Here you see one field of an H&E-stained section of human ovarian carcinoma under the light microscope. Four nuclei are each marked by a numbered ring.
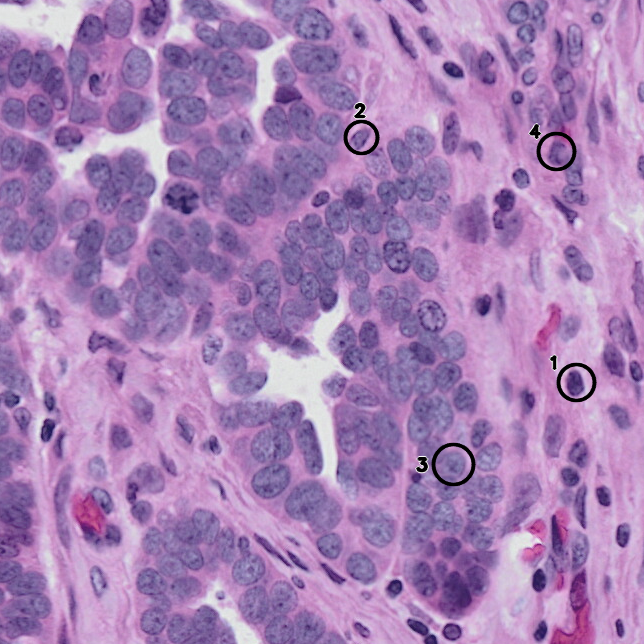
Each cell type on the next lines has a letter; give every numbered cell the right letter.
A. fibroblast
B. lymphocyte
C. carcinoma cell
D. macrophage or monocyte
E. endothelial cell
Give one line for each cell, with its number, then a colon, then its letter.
1: B
2: D
3: C
4: E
